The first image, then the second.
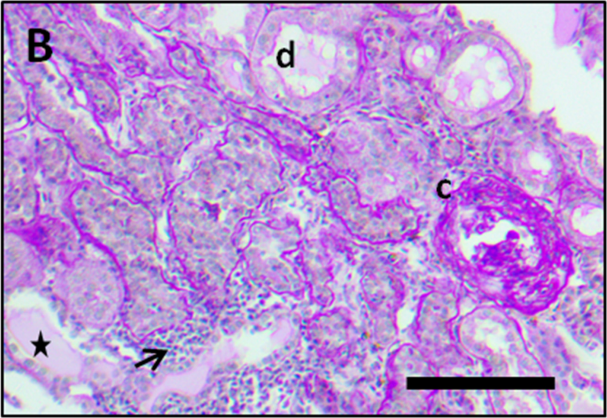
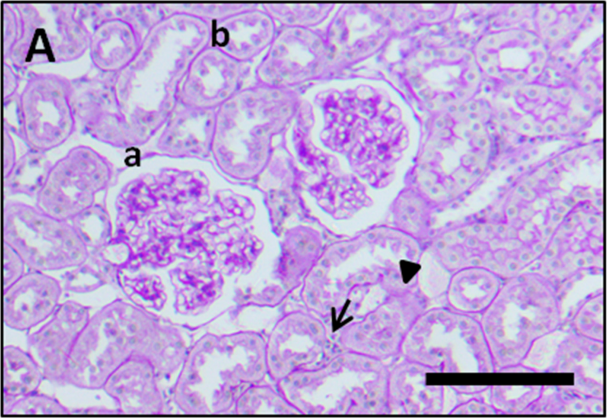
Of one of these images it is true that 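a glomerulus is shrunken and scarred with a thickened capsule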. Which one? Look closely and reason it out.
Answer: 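First image: one glomerulus has a collapsed, densely magenta tuft inside a thick layered capsule. Second image: glomeruli have open capillary loops in a clear space under a thin capsule.
Conclusion: the first image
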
